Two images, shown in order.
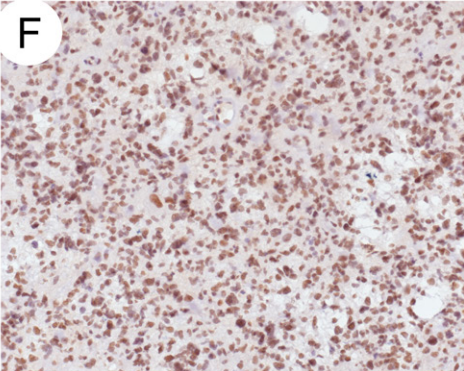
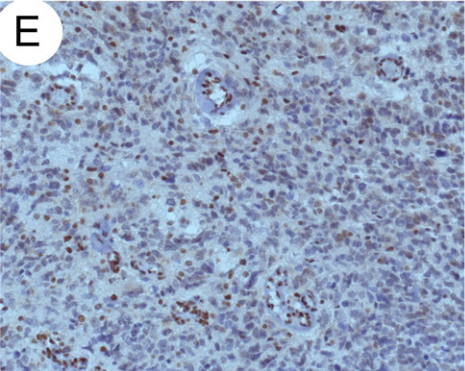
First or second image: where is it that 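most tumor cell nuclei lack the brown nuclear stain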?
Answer: The second image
